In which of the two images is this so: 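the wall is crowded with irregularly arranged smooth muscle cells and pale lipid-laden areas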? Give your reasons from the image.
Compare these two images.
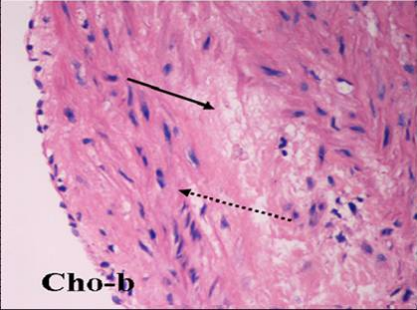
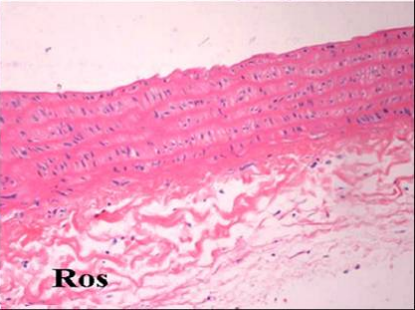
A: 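The first image. First image: plump spindle nuclei are crowded and disorderly, and a pale, loose, wispy area interrupts the wall.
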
